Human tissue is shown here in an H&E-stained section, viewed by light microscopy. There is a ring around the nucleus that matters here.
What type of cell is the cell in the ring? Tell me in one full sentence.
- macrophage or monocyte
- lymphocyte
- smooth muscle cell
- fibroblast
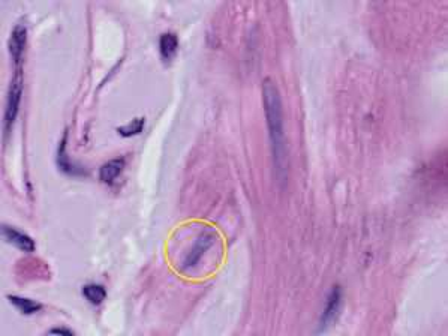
It is a smooth muscle cell that the cell in the ring represents.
